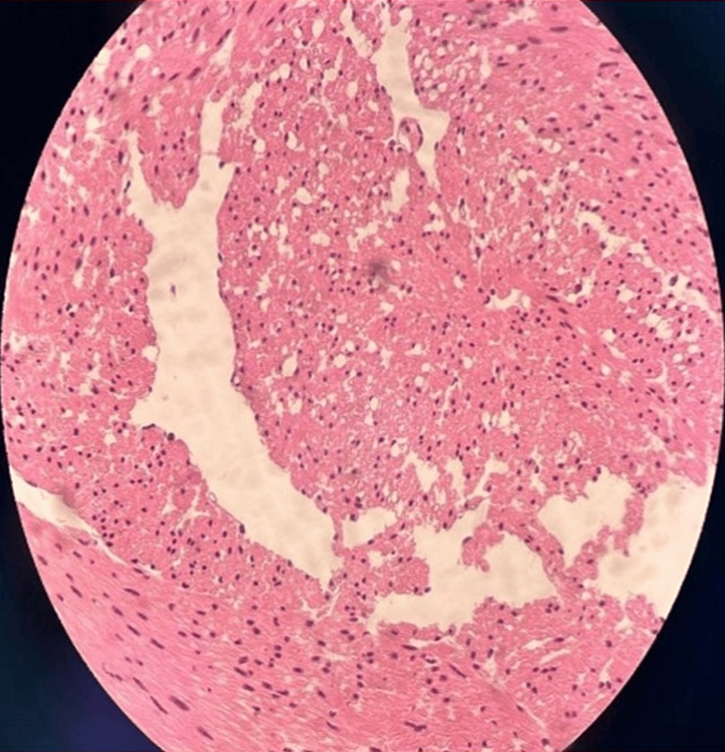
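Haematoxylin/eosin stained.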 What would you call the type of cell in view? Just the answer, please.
Smooth muscle fibers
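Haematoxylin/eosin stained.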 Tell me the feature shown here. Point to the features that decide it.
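Bundles of cells run in different directions in different parts of the field. Cross-cut bundles in the centre lie beside lengthwise-cut bundles at the lower left. Clefts separate the cell bundles. On this evidence: haphazardly arranged fascicles.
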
